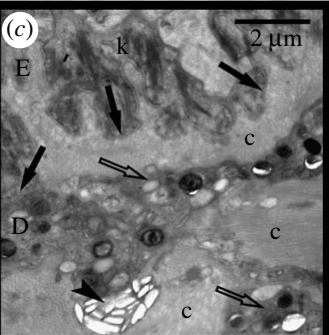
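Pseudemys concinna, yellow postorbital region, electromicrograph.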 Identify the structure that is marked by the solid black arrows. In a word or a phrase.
Basal lamina.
